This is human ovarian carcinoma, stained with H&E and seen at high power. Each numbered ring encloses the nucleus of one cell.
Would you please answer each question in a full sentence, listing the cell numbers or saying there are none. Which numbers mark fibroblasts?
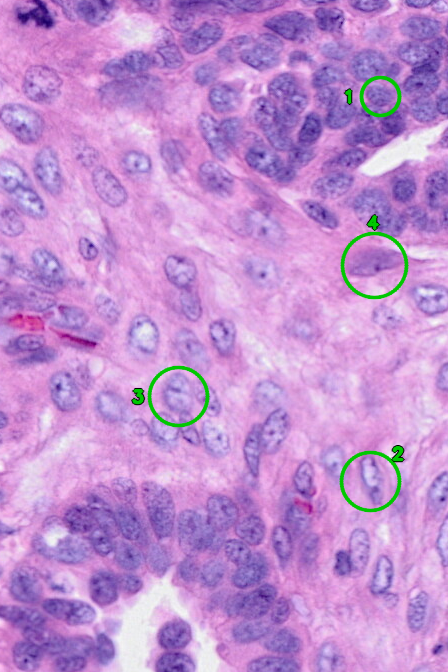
Cells 2, 3 and 4 are classified as fibroblasts.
